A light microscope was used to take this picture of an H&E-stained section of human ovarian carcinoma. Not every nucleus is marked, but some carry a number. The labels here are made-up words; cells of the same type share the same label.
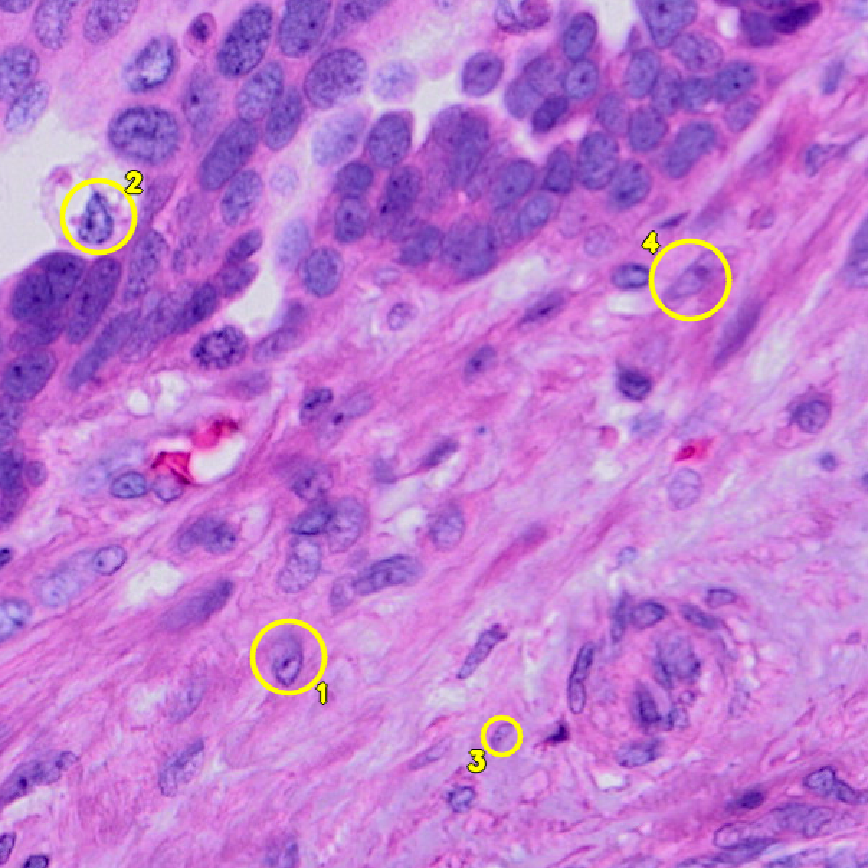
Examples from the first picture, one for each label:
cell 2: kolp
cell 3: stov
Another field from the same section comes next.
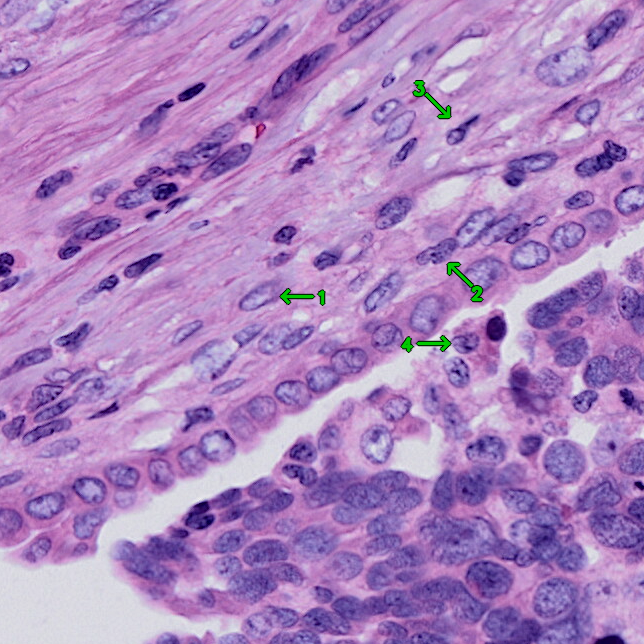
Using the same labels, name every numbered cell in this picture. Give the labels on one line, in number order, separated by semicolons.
stov; kolp; kolp; kolp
